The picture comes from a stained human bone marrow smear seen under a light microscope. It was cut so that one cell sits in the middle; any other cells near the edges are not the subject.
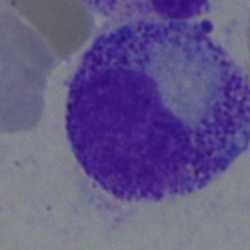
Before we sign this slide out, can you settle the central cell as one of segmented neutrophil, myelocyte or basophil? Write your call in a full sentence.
The cell under consideration, at the middle of the crop, is a myelocyte.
